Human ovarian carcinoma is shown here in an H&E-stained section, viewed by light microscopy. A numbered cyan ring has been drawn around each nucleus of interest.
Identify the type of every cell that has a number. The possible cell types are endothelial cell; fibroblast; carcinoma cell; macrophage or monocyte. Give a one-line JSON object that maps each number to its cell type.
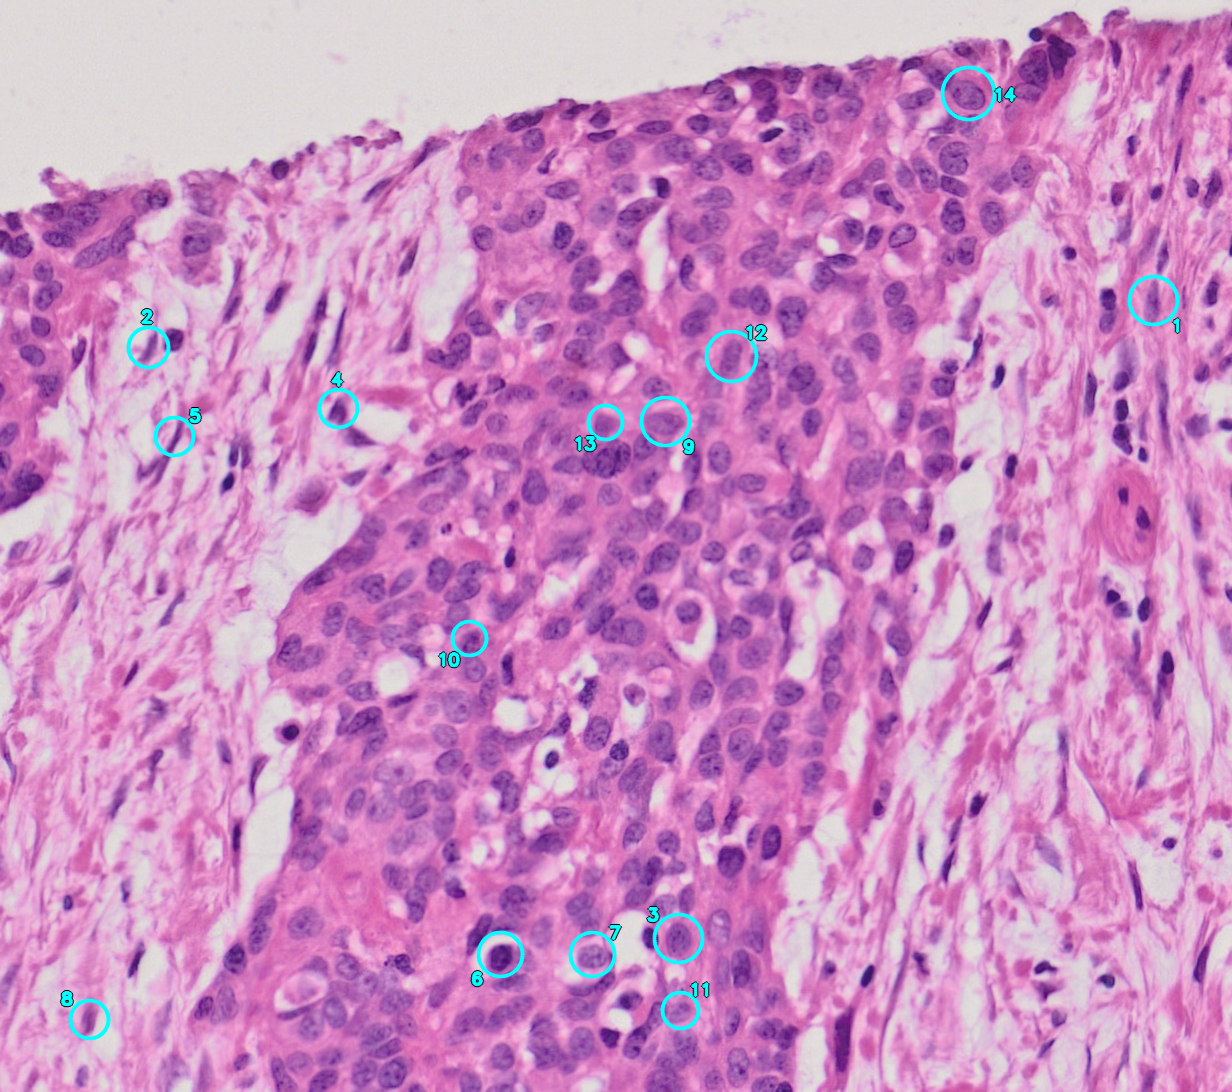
{"1": "fibroblast", "2": "fibroblast", "3": "carcinoma cell", "4": "fibroblast", "5": "fibroblast", "6": "carcinoma cell", "7": "macrophage or monocyte", "8": "fibroblast", "9": "carcinoma cell", "10": "carcinoma cell", "11": "carcinoma cell", "12": "carcinoma cell", "13": "carcinoma cell", "14": "carcinoma cell"}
